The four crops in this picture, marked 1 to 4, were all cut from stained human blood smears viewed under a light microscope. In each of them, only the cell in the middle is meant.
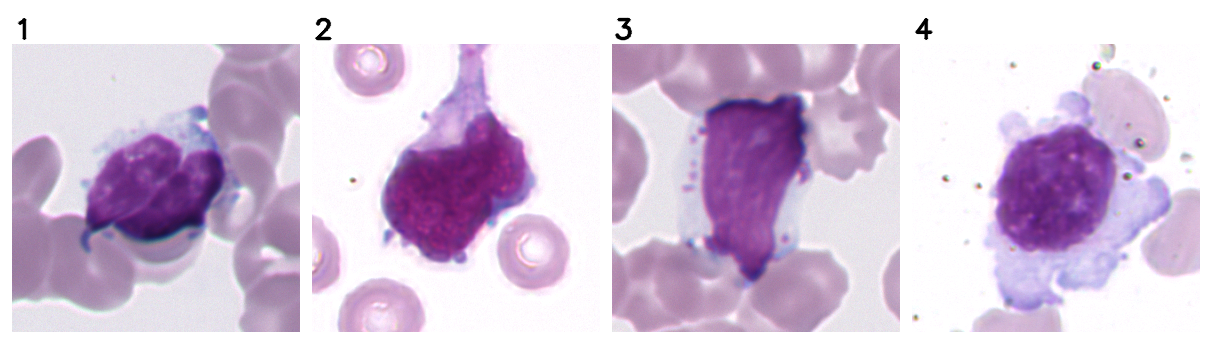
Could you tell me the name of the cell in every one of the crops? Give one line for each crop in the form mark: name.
1: large granular lymphocyte
2: atypical promyelocyte
3: large granular lymphocyte
4: plasma cell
